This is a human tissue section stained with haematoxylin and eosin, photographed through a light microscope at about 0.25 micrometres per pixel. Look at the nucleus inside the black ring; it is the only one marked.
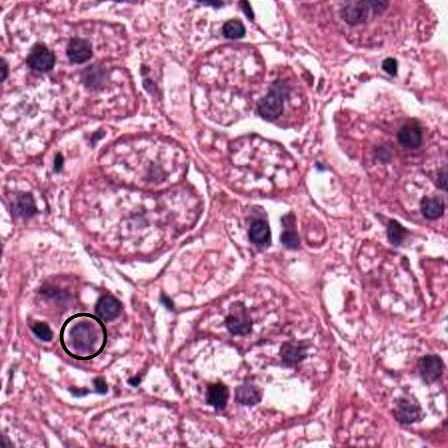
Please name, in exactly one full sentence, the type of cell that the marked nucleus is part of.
A nucleus belonging to an adrenal cortical cell is the one marked.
